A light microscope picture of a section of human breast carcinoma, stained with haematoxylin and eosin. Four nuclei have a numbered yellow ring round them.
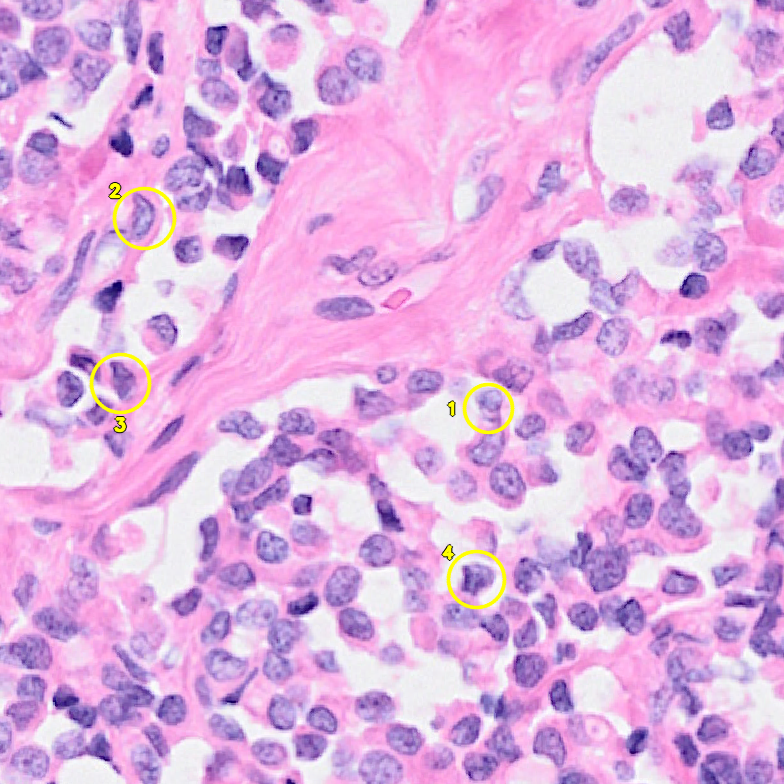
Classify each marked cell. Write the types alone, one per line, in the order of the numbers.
carcinoma cell
endothelial cell
carcinoma cell
carcinoma cell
